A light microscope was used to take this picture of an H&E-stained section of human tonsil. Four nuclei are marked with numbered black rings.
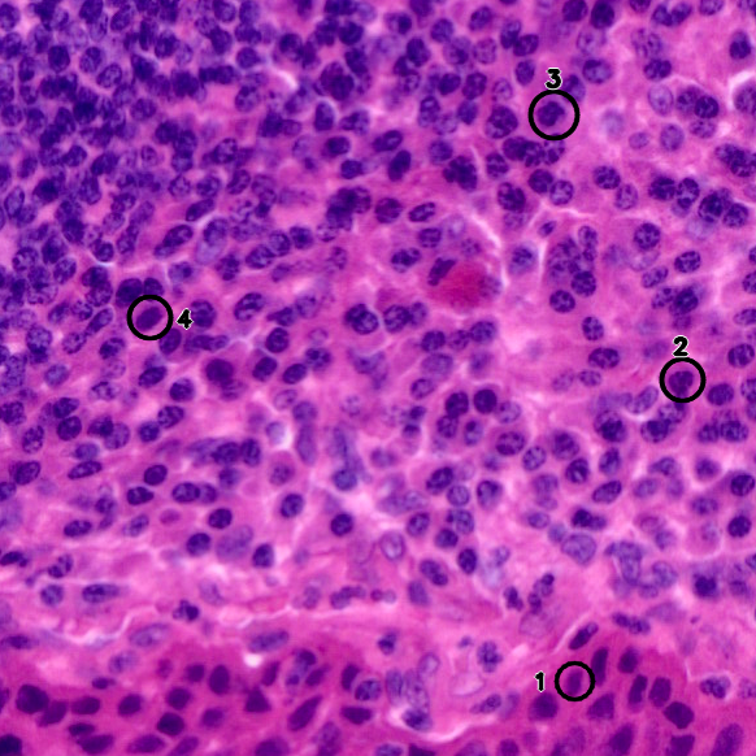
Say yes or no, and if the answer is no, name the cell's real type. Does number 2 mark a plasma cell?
Yes.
